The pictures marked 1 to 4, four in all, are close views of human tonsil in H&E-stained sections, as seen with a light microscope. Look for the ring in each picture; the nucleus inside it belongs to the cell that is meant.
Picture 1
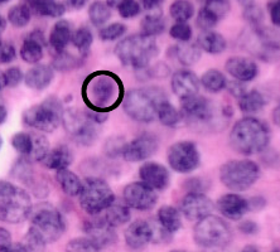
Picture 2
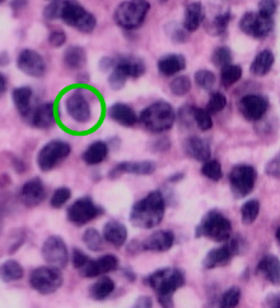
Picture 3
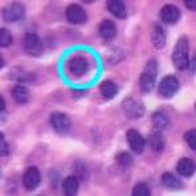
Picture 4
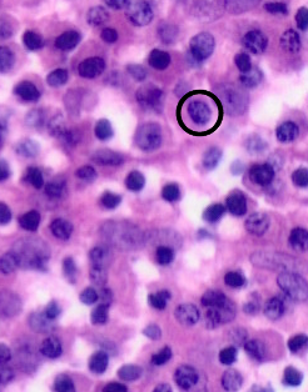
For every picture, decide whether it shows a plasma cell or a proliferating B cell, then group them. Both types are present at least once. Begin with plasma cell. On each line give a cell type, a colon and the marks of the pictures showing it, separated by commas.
plasma cell: 3, 4
proliferating B cell: 1, 2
